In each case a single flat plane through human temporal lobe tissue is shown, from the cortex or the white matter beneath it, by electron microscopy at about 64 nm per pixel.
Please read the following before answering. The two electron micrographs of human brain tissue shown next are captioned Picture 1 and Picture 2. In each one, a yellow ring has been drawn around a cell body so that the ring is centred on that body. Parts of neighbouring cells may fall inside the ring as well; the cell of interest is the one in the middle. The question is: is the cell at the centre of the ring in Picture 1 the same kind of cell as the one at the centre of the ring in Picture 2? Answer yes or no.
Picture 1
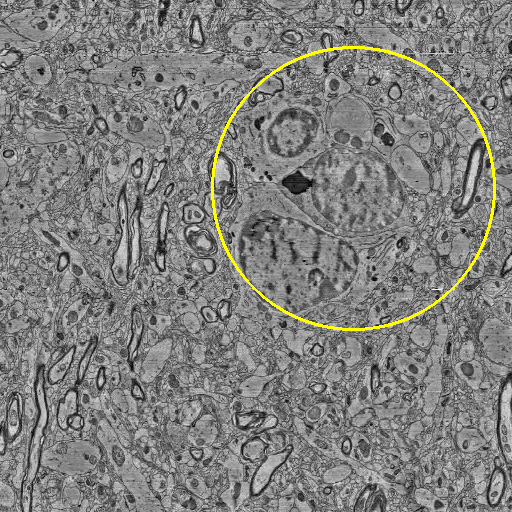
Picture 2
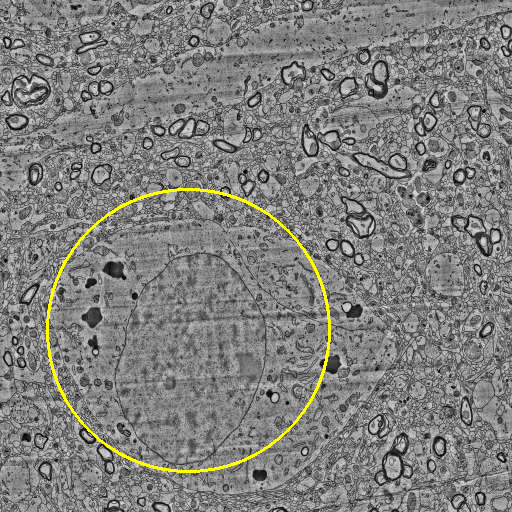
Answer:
no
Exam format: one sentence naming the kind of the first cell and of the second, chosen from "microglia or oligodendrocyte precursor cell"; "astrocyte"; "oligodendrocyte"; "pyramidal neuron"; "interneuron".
The first picture's cell is an oligodendrocyte, and the second picture's cell is a pyramidal neuron.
